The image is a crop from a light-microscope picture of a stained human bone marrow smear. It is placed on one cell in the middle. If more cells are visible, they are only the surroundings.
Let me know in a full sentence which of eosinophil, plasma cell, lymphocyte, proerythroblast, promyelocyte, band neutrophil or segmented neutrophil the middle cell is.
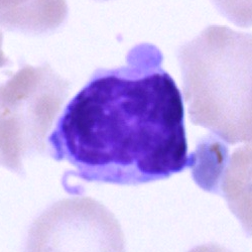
The centrally positioned cell in the crop represents a lymphocyte.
